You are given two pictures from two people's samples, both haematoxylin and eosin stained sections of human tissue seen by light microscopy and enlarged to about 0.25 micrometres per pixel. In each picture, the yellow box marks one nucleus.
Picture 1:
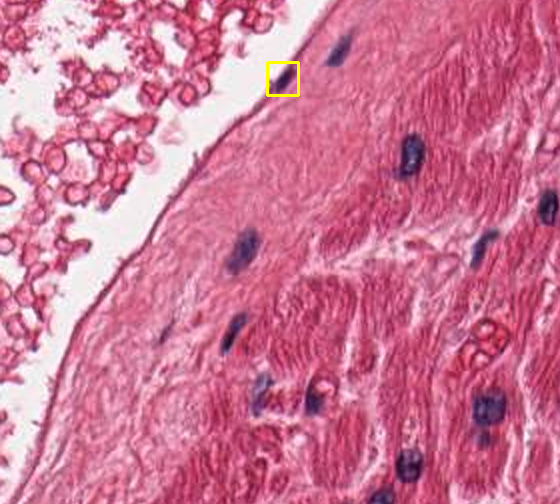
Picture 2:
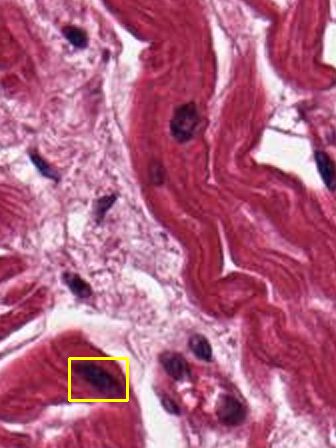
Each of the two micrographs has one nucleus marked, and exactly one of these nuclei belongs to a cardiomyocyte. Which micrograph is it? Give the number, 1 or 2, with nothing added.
2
